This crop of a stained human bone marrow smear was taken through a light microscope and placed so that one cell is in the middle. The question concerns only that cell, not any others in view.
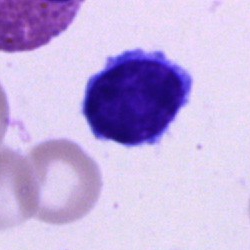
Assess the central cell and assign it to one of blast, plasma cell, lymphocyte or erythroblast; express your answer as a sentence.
This crop's central cell is a lymphocyte.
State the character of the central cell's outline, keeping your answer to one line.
The periphery of this cell is uneven, with ragged portions or projections.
